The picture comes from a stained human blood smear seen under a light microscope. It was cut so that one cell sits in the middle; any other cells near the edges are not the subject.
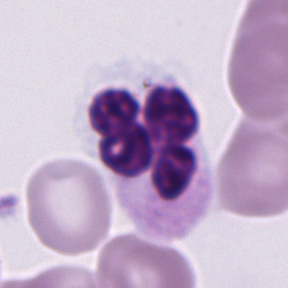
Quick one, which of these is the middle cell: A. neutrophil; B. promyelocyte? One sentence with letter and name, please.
Option A is correct here, and the cell in the middle is a neutrophil.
